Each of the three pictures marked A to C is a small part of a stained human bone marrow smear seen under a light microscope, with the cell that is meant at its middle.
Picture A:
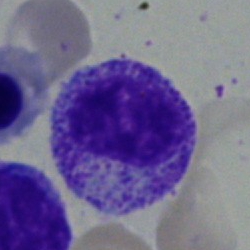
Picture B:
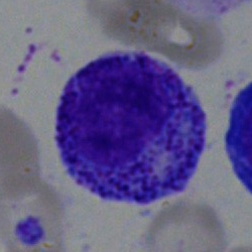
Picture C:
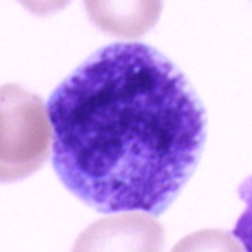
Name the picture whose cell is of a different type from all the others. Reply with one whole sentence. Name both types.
Unlike the rest, which show promyelocytes, picture A shows a myelocyte.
